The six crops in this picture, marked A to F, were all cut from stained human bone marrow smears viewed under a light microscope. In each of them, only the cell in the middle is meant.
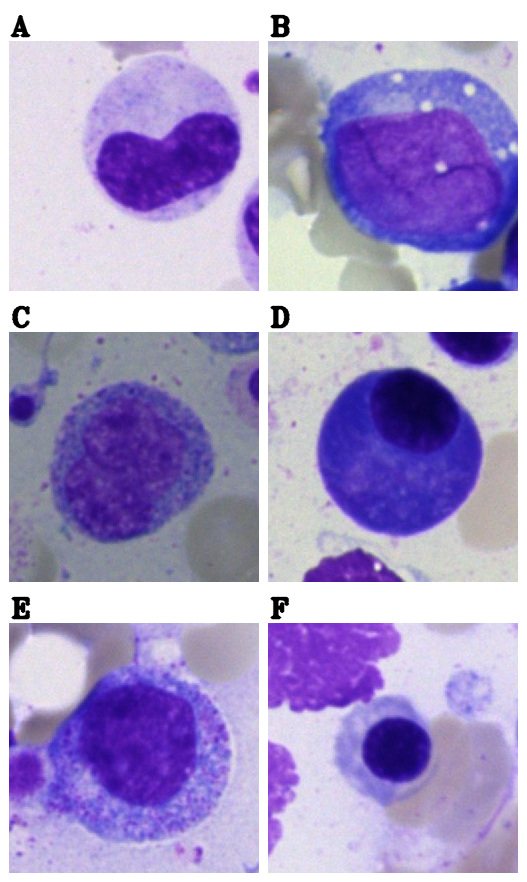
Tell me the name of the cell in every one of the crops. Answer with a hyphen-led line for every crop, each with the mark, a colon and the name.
- A: metamyelocyte
- B: blast
- C: monocyte
- D: plasma cell
- E: promyelocyte
- F: normoblast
